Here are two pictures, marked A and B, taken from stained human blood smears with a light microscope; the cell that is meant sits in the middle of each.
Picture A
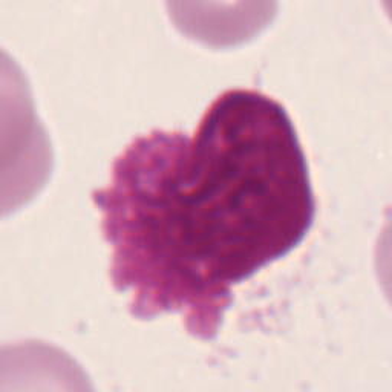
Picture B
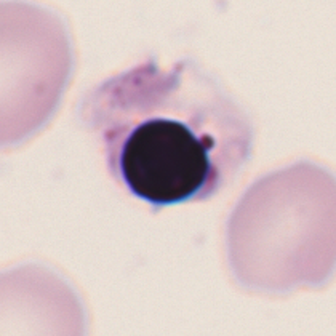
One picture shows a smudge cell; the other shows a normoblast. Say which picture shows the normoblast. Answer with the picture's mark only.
B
